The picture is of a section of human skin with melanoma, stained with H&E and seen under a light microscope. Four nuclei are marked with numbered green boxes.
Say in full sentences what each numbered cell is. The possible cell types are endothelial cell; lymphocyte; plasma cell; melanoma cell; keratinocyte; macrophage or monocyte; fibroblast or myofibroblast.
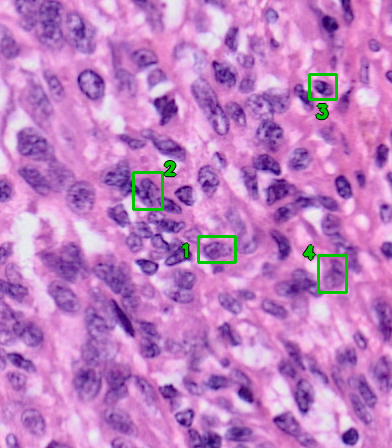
Cells 1, 2 and 4 are melanoma cells. Cell 3 is a lymphocyte.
